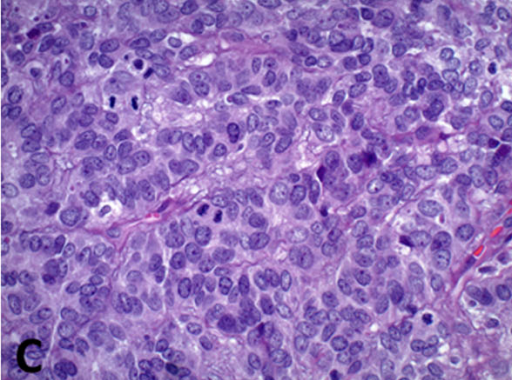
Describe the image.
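Densely packed tumor cells fill the field, with oval to rounded nuclei that are vesicular, with fine chromatin and small nucleoli, and moderate amounts of pale purple cytoplasm with indistinct borders. The nuclei vary somewhat in size and shape, and a few are larger and darker than their neighbours. Scattered among them are several cells with dark, condensed chromosome clumps, typical of dividing cells. Thin pink strands with a few small vessels run through the sheet. Taken together this is a cellular tumor of epithelioid cells showing mitotic activity.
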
